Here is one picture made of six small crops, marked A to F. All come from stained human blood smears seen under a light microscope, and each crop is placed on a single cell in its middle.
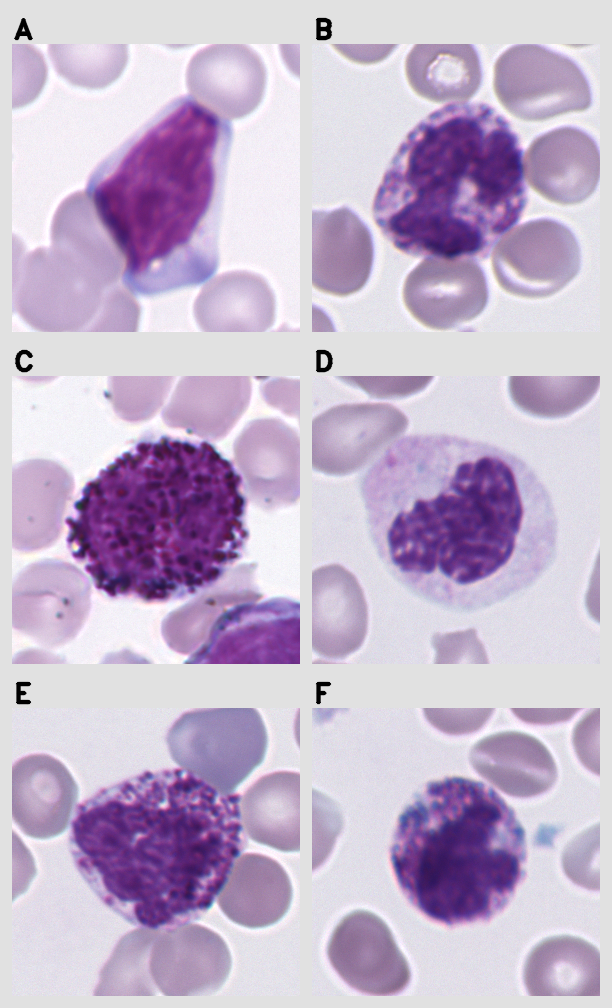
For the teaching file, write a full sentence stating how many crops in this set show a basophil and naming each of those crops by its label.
Identified as basophils are the cells in four crops, B, C, E and F.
